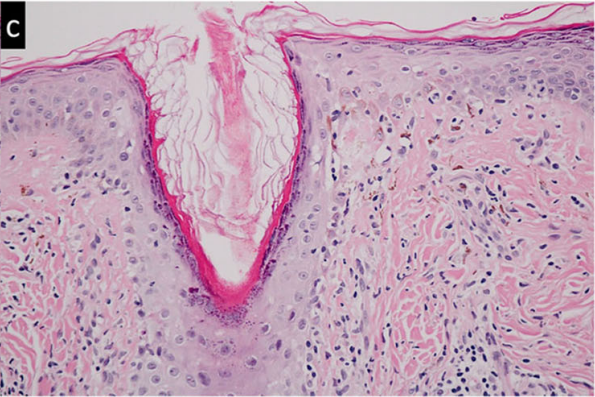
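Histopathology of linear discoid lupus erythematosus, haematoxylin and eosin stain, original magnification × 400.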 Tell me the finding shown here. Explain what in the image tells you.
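Follicular hyperkeratosis. A funnel-shaped follicular opening is filled with layered keratin. The keratin plug extends from the surface down into the follicle.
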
